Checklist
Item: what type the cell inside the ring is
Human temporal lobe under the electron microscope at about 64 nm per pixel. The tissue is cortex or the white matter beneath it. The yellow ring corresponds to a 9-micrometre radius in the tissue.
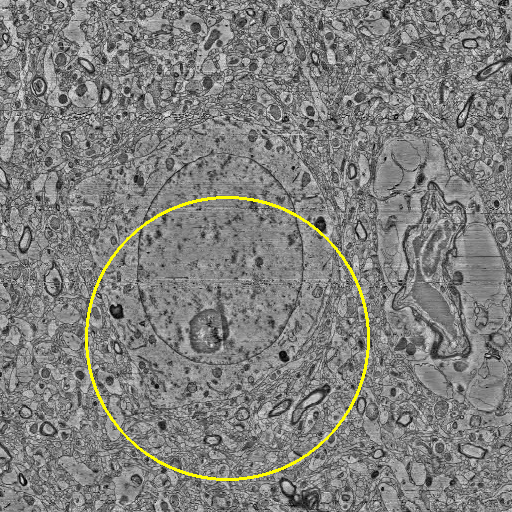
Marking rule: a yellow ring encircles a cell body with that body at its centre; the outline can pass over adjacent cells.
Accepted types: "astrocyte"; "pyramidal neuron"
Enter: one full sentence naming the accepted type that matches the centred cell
The entry is that a pyramidal neuron lies at the centre of the yellow ring.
